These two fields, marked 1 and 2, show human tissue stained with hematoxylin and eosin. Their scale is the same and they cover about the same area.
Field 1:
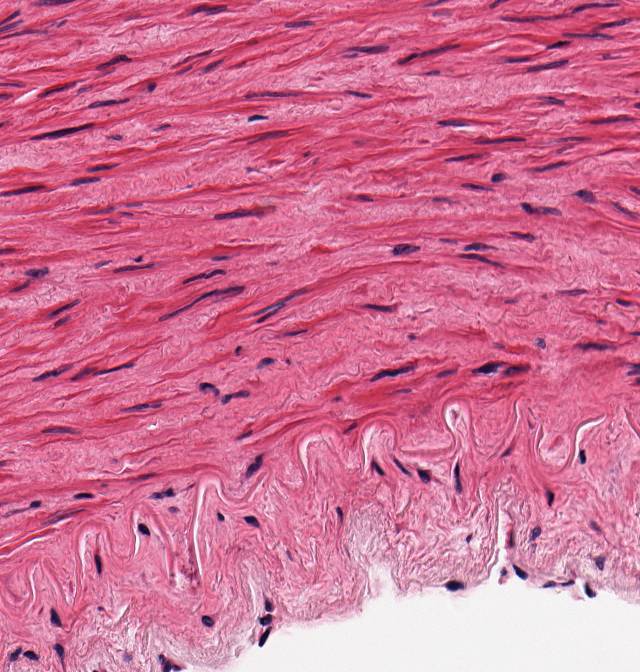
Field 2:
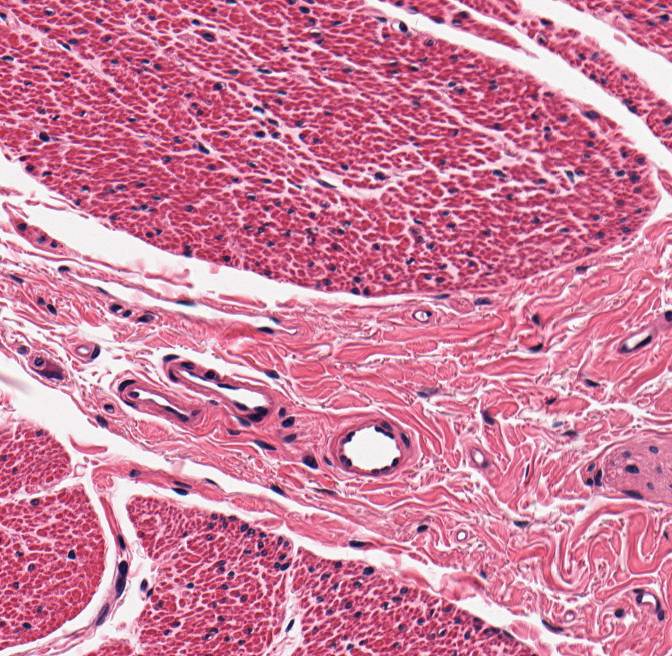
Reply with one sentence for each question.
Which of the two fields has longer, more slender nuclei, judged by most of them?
The nuclei are more elongated in field 1.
